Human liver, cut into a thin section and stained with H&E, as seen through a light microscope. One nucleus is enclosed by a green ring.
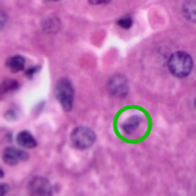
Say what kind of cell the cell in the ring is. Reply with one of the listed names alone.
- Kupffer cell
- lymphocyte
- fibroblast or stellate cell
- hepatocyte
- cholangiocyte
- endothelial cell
endothelial cell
